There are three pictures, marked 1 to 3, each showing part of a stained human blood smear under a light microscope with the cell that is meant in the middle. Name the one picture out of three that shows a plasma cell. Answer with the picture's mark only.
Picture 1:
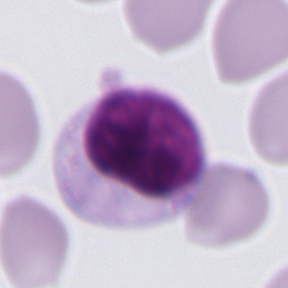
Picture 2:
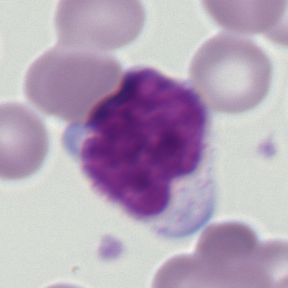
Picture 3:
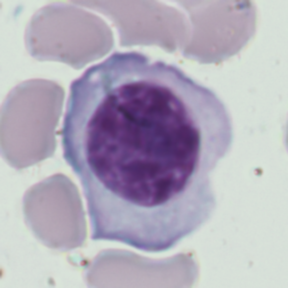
3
